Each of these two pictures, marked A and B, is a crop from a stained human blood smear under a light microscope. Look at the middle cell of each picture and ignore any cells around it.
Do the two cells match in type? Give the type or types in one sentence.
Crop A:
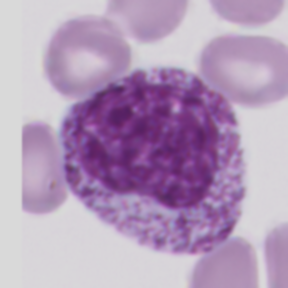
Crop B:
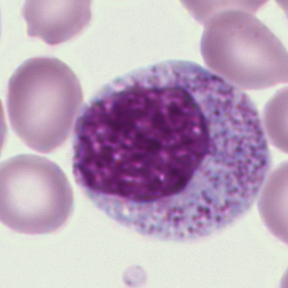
Yes, at the centre of both crops are myelocytes.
